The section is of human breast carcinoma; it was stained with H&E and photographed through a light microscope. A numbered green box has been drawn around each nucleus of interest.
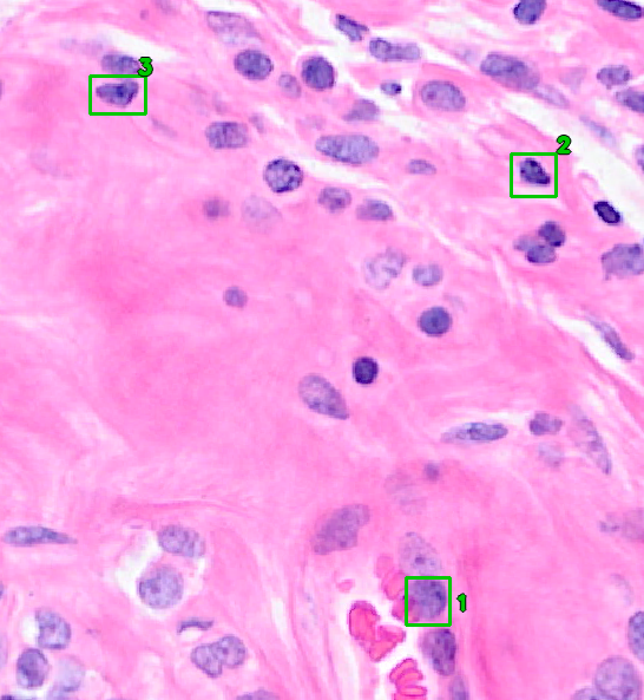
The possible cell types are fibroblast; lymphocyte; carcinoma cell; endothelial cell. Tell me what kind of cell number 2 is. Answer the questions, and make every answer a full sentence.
The one numbered 2 among the marked cells is a lymphocyte.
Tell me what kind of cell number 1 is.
Identified by the number 1, the cell is an endothelial cell.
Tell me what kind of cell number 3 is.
The identity of cell 3 is that of a lymphocyte.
